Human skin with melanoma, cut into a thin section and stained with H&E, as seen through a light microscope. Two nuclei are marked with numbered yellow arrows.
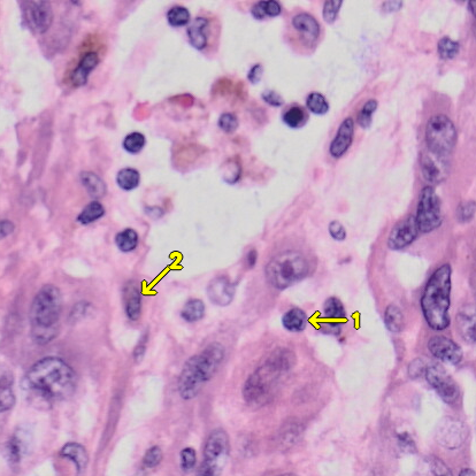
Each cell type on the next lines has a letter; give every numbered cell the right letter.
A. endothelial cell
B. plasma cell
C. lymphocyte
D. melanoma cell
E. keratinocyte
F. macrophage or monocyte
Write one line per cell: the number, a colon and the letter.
1: C
2: F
